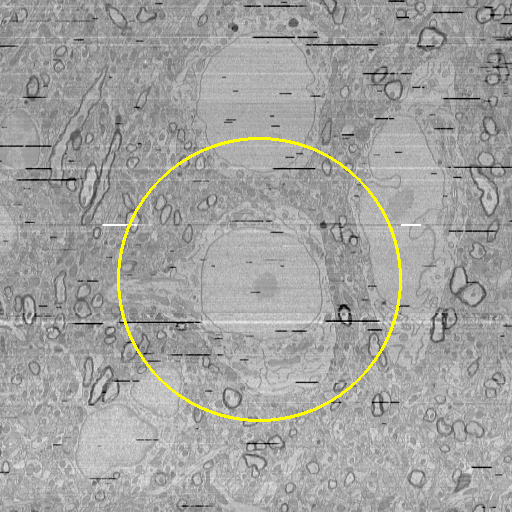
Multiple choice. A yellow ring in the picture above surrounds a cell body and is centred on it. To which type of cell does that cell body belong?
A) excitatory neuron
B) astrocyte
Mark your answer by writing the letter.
A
